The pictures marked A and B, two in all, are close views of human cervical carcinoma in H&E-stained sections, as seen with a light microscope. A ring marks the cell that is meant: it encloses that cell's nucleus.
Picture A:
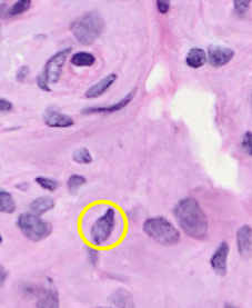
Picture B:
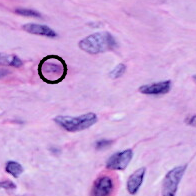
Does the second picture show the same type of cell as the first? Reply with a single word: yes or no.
no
